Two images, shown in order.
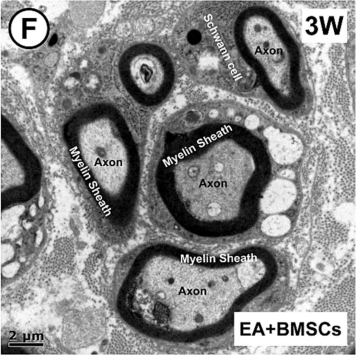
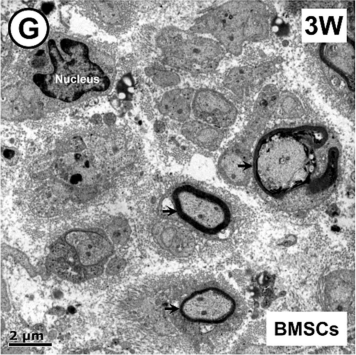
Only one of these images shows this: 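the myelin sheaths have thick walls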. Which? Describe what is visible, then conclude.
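Second image: few small axons, each surrounded by only a thin dark ring. First image: several large axons surrounded by broad, thick dark bands.
The first image.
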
